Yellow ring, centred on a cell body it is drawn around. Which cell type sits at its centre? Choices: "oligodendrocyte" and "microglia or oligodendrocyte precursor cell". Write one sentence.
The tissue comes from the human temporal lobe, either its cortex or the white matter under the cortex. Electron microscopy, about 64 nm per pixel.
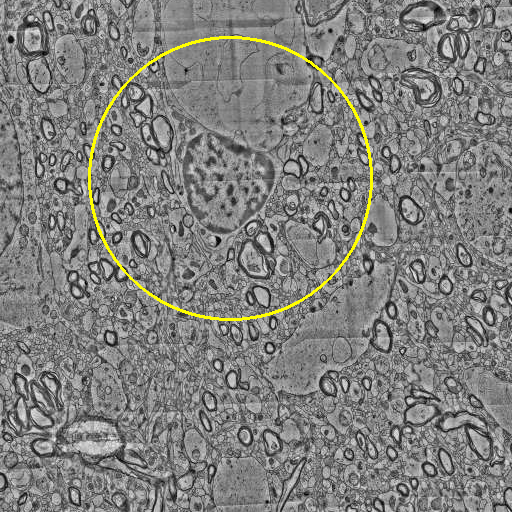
At the centre of the ring sits a microglial cell or oligodendrocyte precursor cell.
